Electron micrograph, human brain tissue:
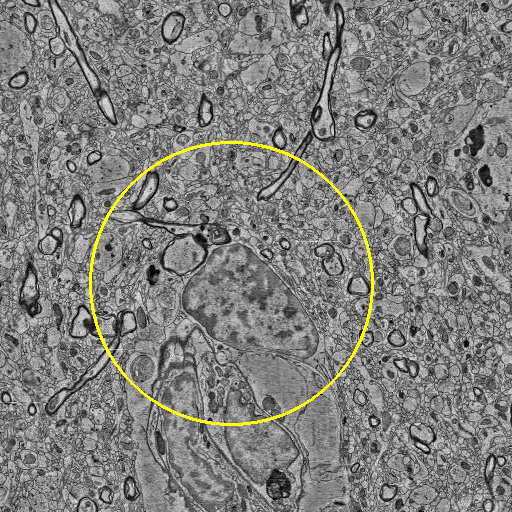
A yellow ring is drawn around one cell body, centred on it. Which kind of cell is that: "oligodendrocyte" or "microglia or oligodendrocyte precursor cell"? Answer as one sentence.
It is a microglial cell or oligodendrocyte precursor cell at the centre of the ring.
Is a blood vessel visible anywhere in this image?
Yes, there is one.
